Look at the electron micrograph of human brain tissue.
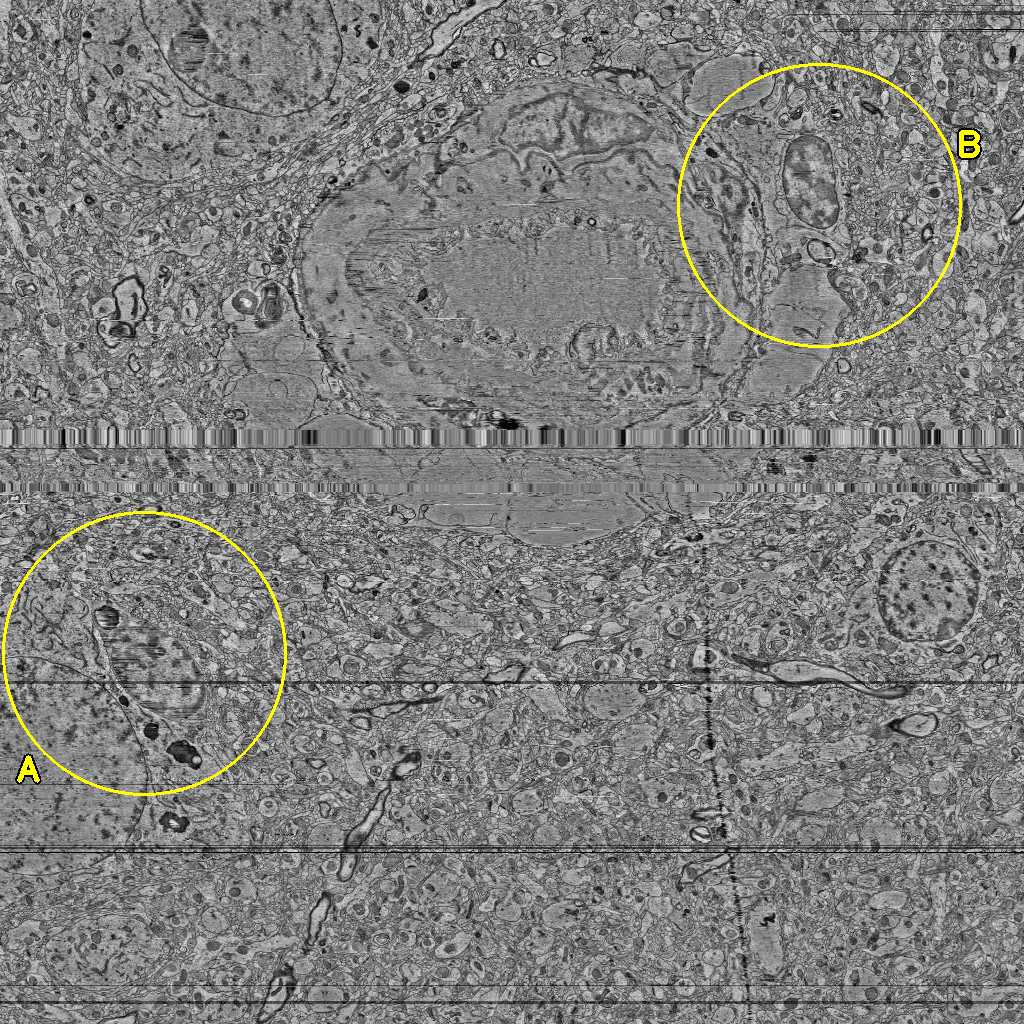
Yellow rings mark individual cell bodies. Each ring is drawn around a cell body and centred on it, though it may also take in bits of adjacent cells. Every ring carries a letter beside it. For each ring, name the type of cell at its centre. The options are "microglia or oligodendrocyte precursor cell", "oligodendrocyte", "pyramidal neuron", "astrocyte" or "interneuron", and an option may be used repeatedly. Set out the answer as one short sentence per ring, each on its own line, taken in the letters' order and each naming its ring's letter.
Ring A is drawn around an oligodendrocyte.
Ring B is drawn around a microglial cell or oligodendrocyte precursor cell.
